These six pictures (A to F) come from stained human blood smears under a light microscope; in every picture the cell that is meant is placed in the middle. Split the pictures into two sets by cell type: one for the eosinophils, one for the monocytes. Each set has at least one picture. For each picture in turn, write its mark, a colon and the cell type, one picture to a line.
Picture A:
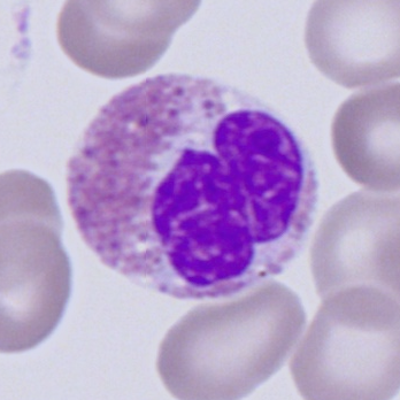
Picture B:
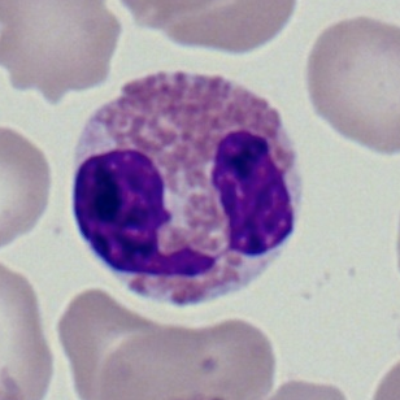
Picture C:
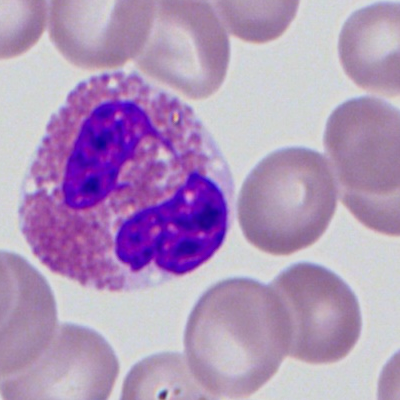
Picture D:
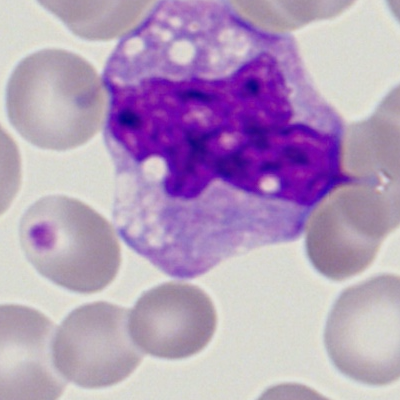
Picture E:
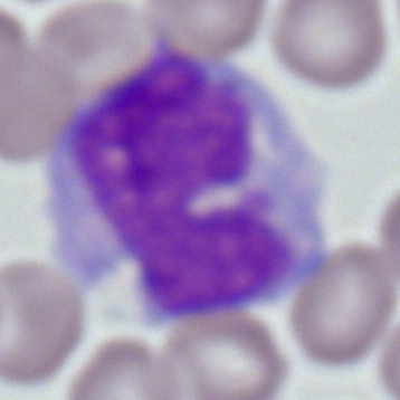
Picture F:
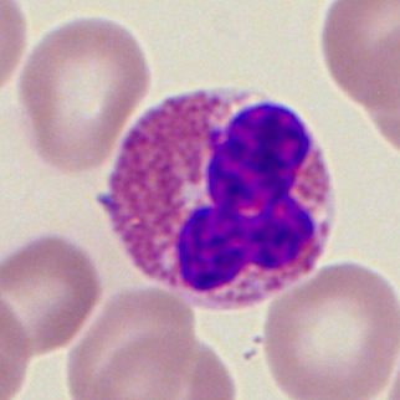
A: eosinophil
B: eosinophil
C: eosinophil
D: monocyte
E: monocyte
F: eosinophil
